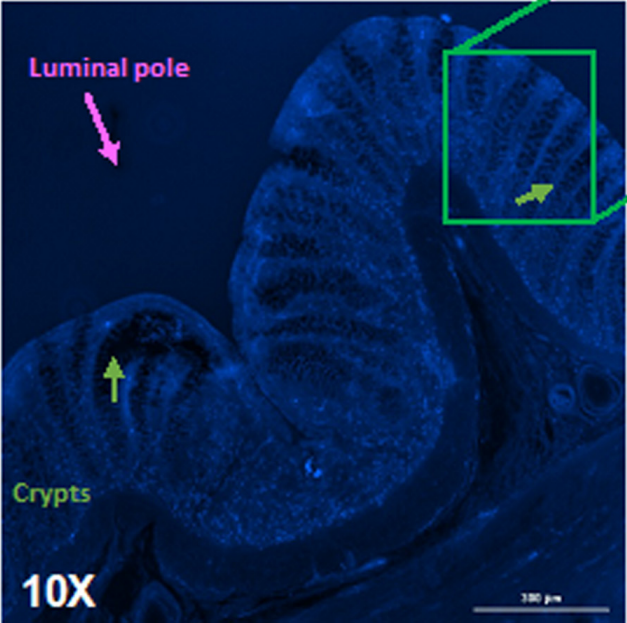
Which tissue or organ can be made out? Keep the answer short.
Colonic mucosa.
